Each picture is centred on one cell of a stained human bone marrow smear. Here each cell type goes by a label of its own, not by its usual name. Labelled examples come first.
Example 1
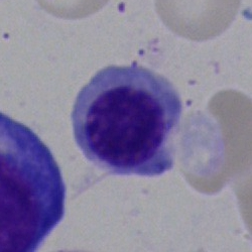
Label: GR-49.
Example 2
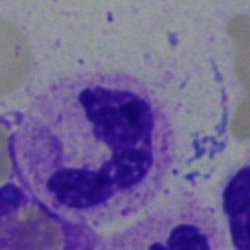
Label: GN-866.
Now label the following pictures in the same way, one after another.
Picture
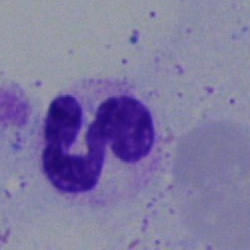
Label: GN-866.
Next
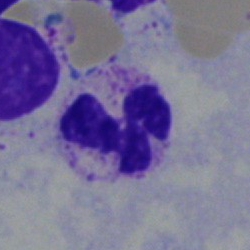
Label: GN-866.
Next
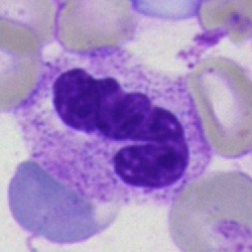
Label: GN-866.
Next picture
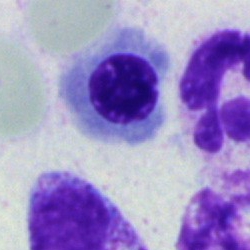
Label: GR-49.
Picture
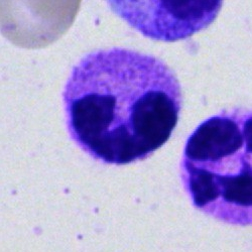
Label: GN-866.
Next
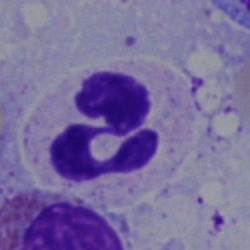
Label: GN-866.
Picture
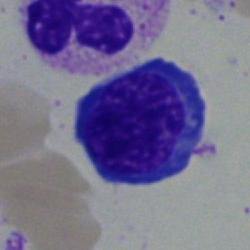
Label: GR-49.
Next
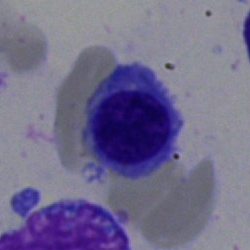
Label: GR-49.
